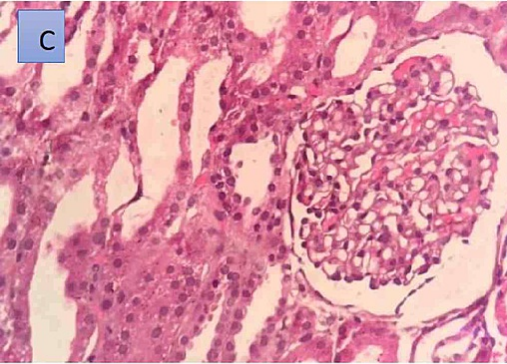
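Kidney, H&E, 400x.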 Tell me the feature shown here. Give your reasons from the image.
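A round tuft of capillary loops sits inside a clear space bounded by a thin capsule. Capillary loops are open with thin walls. On this evidence: Glomeruli.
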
